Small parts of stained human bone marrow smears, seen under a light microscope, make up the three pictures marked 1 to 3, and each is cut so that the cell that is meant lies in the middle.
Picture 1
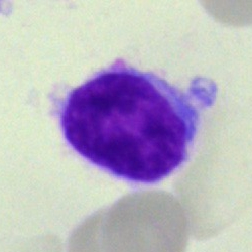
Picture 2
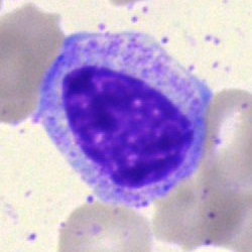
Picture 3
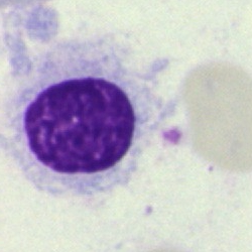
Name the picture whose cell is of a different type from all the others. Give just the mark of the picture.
2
